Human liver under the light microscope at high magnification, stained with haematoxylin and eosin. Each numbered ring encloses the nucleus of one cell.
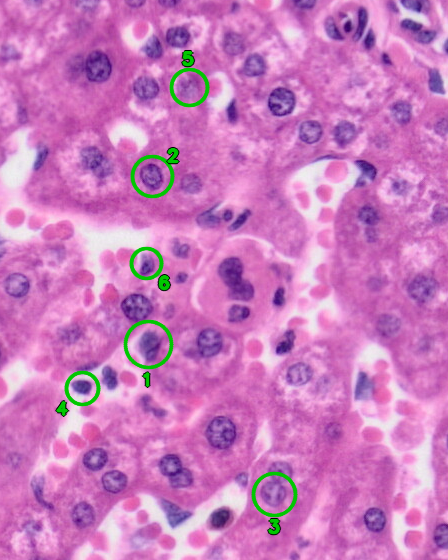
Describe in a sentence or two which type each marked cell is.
Cell 1 is an endothelial cell, cell 2 is a hepatocyte, cell 3 is a hepatocyte, cell 4 is a lymphocyte, cell 5 is a hepatocyte and cell 6 is a fibroblast or stellate cell.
